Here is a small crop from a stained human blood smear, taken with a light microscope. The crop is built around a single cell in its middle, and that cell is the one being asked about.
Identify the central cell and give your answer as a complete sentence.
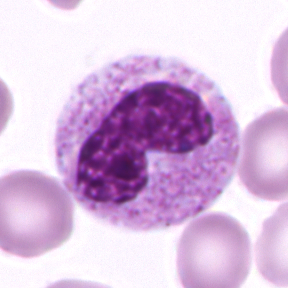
Centrally within this crop lies a band neutrophil.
